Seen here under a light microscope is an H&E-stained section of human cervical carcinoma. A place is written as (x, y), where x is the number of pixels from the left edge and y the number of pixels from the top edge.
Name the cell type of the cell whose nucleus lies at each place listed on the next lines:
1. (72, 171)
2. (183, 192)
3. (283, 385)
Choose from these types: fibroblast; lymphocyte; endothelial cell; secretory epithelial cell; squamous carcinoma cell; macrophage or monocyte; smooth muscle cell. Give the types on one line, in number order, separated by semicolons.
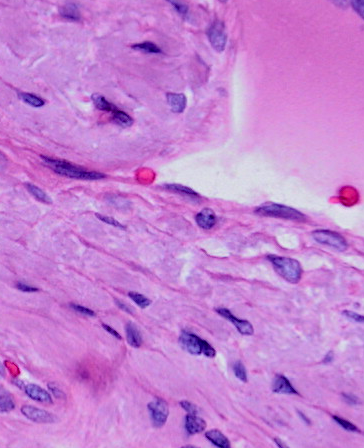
endothelial cell; endothelial cell; fibroblast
